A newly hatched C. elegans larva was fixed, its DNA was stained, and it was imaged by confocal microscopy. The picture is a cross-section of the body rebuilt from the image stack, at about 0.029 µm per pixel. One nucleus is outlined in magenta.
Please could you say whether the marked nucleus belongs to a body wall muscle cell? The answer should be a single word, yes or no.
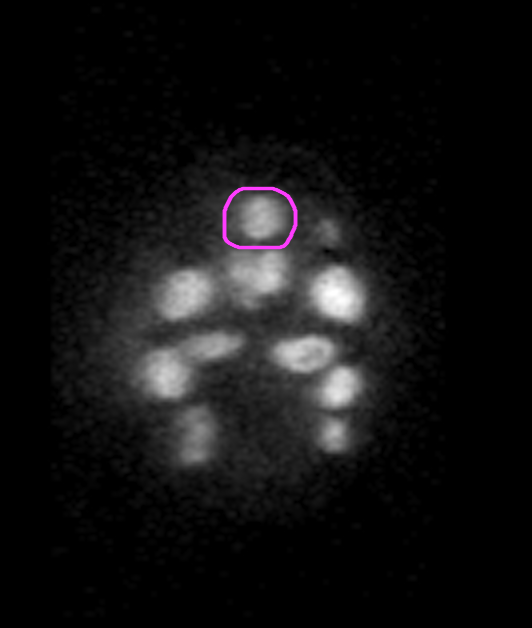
no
